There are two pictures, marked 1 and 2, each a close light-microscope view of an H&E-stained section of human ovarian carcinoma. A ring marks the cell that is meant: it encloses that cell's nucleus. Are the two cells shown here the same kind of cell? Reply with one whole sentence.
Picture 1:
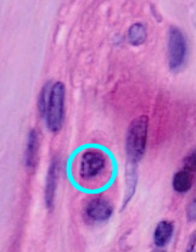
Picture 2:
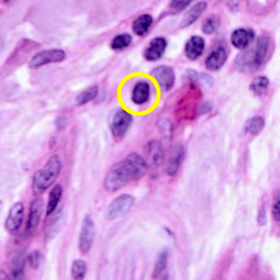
Yes, both are lymphocytes.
